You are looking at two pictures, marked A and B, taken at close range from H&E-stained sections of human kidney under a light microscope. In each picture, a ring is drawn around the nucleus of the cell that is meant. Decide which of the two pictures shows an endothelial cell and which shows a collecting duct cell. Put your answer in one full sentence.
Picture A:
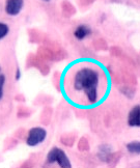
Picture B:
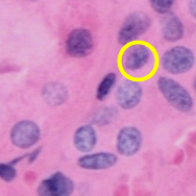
The cell in picture A is an endothelial cell, and the one in picture B is a collecting duct cell.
